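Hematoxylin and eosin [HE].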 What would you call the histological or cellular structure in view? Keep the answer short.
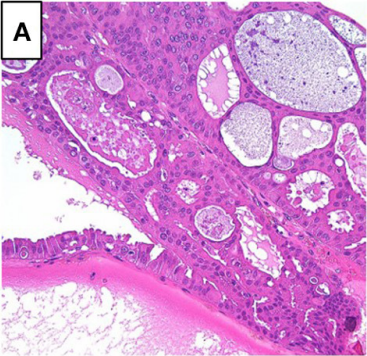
Multiple cysts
